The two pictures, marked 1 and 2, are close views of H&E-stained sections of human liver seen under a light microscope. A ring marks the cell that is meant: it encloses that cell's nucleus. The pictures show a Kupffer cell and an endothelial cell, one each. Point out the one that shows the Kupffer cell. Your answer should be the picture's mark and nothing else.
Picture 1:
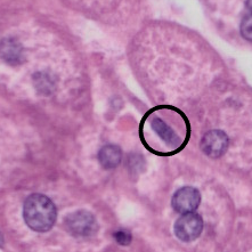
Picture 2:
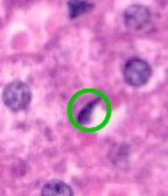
1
